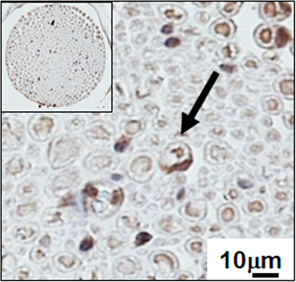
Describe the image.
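This is a cross-section of a peripheral nerve, filled with the round profiles of nerve fibres cut across. The profiles are ring-shaped, with pale centres and thin light-brown rims, and they vary in size while lying closely packed. Small dark blue oval nuclei are scattered sparsely between the rings. A few profiles carry a stronger brown rim or a small brown spot in their middle. The inset shows the whole nerve as a round cross-section with a thin outer boundary and many such profiles inside.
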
